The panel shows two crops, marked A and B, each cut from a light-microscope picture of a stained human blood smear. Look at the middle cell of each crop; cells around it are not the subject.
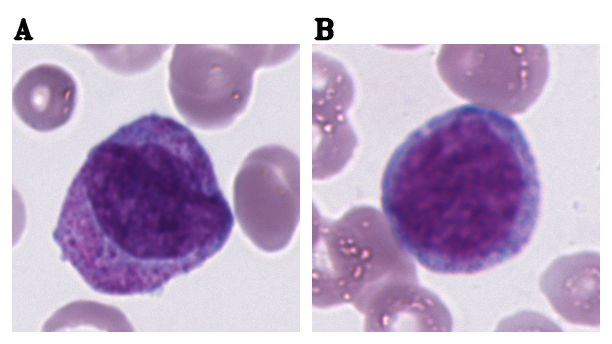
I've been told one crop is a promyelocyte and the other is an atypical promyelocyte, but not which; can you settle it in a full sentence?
Crop A is to be labelled an atypical promyelocyte, and crop B a promyelocyte.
